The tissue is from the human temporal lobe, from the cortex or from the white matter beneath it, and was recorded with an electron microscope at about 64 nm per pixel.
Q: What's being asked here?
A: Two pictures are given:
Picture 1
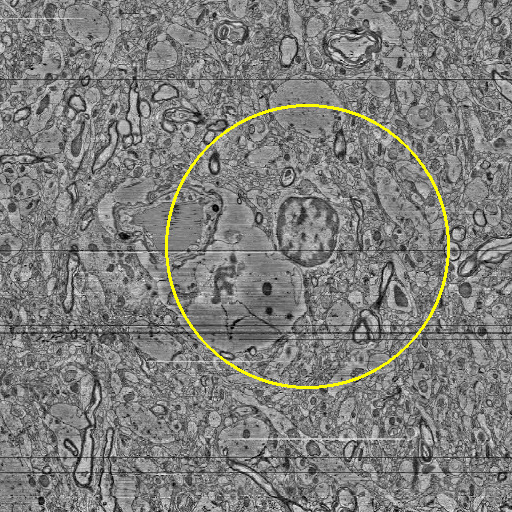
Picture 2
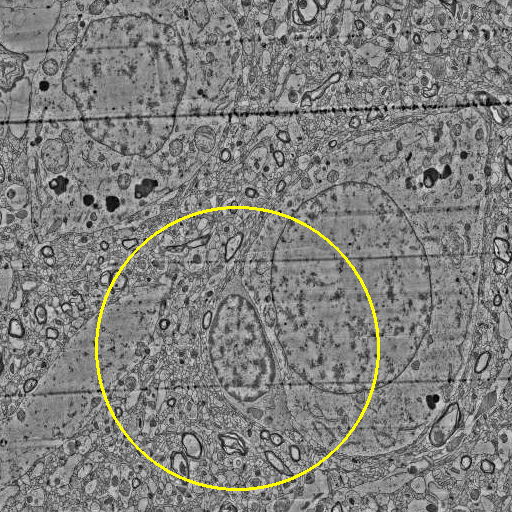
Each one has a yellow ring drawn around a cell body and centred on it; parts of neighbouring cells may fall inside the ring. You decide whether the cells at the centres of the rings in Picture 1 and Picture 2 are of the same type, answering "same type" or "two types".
two types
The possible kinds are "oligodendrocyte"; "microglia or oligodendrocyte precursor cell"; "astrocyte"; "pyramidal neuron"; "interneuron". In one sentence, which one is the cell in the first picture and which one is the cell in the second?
The cell ringed in the second picture is an oligodendrocyte, whereas the one ringed in the first is a microglial cell or oligodendrocyte precursor cell.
